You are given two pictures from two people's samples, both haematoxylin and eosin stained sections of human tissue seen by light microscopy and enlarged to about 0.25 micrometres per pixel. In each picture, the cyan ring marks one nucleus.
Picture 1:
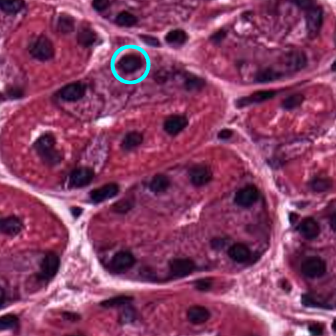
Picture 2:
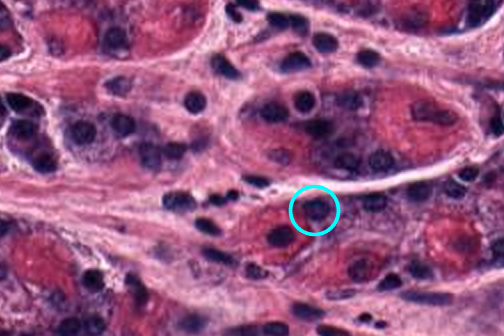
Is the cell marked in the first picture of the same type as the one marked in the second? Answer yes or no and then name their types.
Yes, both are chief cells.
